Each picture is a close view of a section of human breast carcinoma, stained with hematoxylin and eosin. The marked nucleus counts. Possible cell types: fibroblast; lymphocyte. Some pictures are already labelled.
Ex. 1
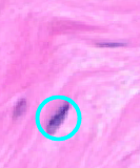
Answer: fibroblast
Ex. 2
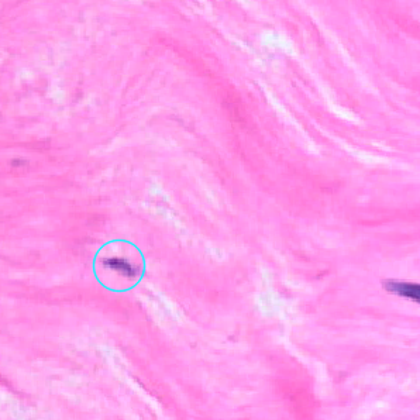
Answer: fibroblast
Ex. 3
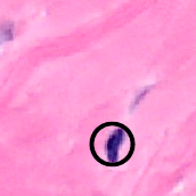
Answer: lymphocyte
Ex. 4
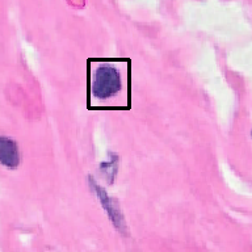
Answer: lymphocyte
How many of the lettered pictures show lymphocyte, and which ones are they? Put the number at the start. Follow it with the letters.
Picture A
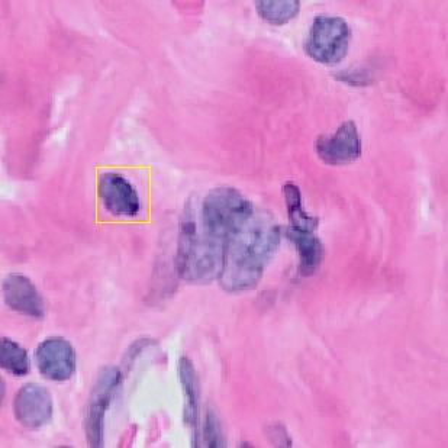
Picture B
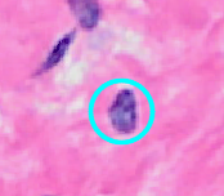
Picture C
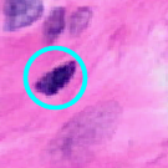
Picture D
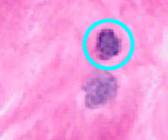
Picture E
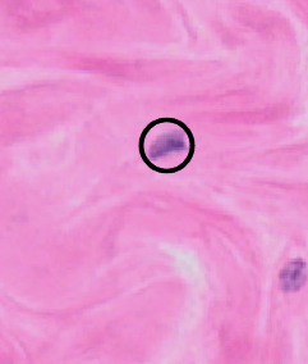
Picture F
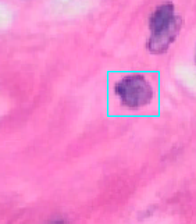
5, namely A, B, C, D, F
